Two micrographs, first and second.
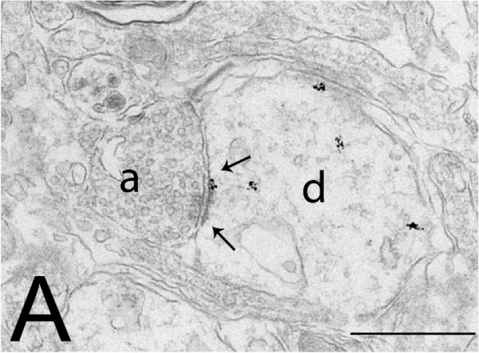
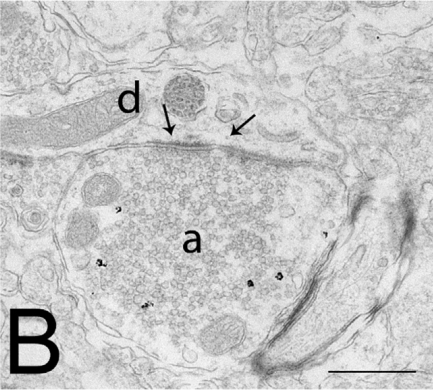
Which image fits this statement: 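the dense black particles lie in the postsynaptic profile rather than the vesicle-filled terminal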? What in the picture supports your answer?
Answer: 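Second image: black particles are scattered inside the vesicle-filled terminal. First image: black particles lie in the pale profile next to the contact, not among the vesicles. The answer: the first image.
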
